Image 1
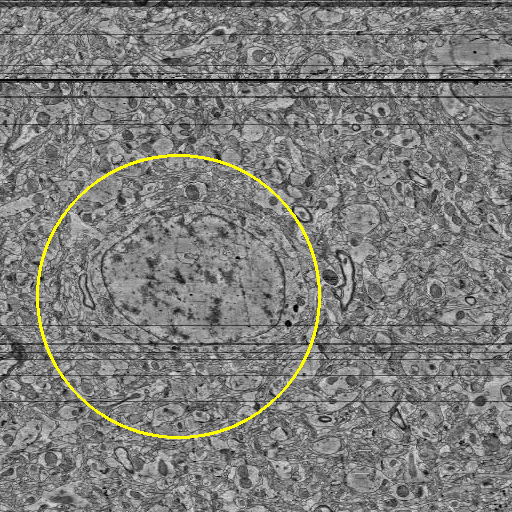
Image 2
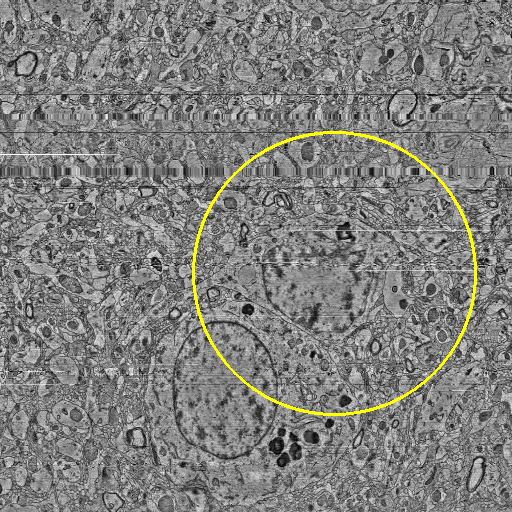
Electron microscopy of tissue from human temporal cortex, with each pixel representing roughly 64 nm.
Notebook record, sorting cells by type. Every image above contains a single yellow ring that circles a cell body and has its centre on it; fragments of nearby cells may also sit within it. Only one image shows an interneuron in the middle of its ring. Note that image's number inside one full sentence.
For image 2, the cell in the middle of its yellow ring is the match.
